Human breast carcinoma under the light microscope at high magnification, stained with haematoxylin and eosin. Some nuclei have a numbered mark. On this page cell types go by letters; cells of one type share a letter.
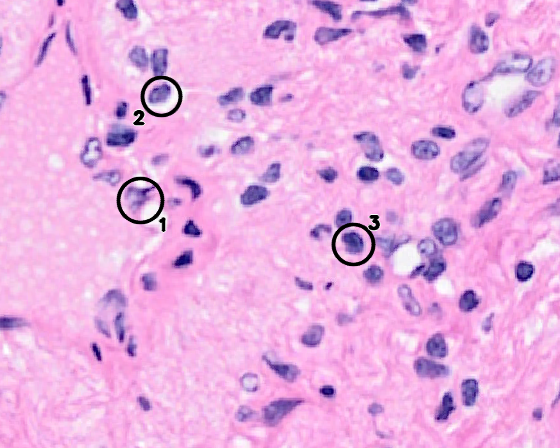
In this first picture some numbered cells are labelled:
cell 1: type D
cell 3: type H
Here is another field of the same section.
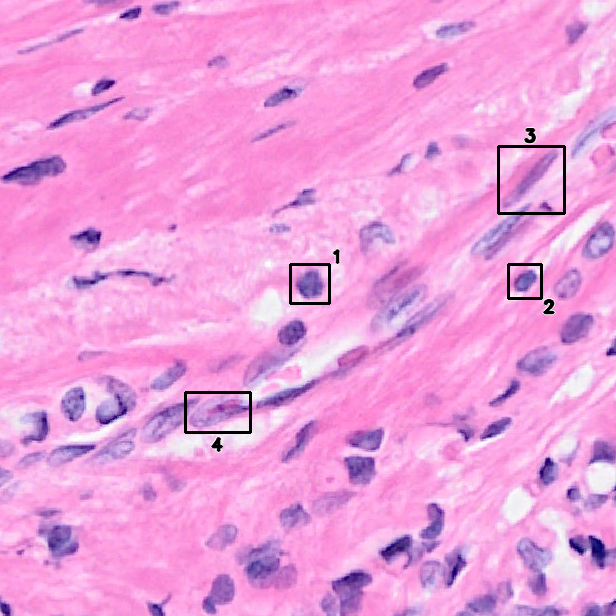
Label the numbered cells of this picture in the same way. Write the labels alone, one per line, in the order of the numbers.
type H
type H
type D
type D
